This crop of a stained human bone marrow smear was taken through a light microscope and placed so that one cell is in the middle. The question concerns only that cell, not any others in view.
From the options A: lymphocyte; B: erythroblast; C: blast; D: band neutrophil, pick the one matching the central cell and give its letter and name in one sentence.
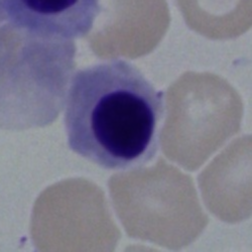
The cell placed in the middle is an erythroblast; option B is correct.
